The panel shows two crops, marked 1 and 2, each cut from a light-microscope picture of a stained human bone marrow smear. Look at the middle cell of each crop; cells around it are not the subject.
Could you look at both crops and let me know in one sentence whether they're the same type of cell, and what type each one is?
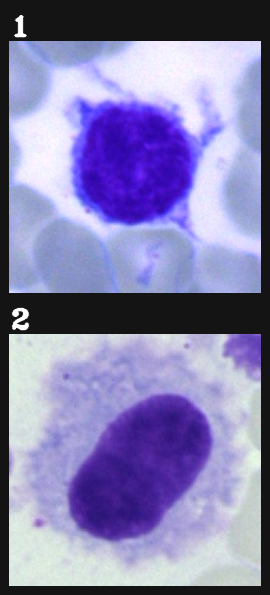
Yes, both crops show hairy cells at their middles.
